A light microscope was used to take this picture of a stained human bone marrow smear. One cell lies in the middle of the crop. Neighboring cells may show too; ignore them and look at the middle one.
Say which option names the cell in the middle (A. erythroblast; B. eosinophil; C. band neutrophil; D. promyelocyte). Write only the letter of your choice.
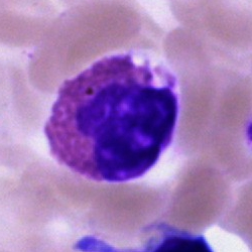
B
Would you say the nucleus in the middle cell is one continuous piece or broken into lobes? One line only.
If you check the nucleus, you will find one compact mass, round, oval or kidney-shaped.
